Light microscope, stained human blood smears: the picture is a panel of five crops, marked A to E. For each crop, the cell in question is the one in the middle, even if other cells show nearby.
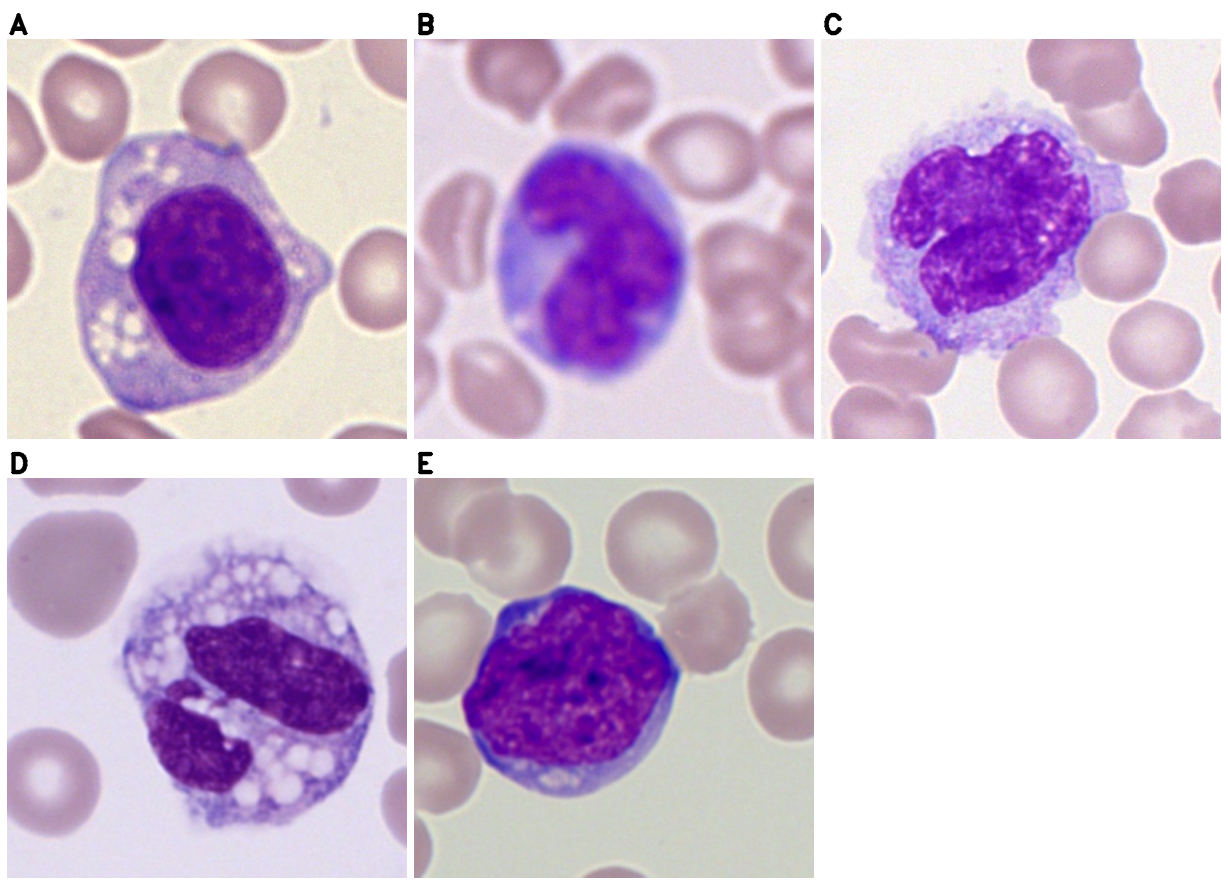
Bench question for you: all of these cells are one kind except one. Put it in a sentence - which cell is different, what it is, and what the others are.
Shown in crop E is a myeloblast, in contrast to the monocytes of all the other crops.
